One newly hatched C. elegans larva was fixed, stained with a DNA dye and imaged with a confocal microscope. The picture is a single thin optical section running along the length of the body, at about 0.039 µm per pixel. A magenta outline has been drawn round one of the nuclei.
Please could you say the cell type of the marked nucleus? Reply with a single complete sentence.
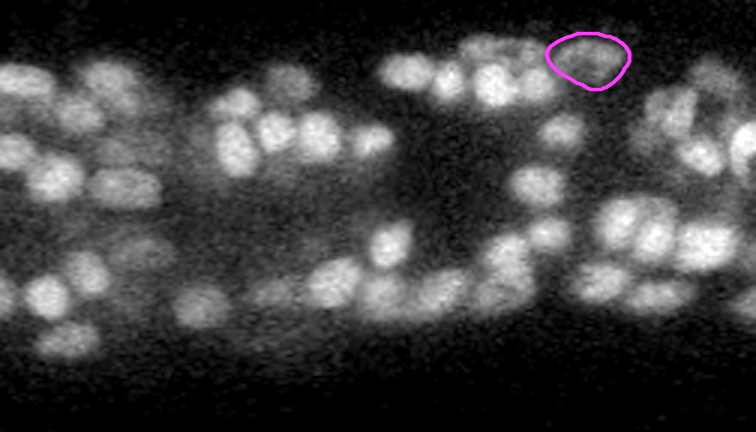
The marked nucleus belongs to a hypodermal cell (hyp).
